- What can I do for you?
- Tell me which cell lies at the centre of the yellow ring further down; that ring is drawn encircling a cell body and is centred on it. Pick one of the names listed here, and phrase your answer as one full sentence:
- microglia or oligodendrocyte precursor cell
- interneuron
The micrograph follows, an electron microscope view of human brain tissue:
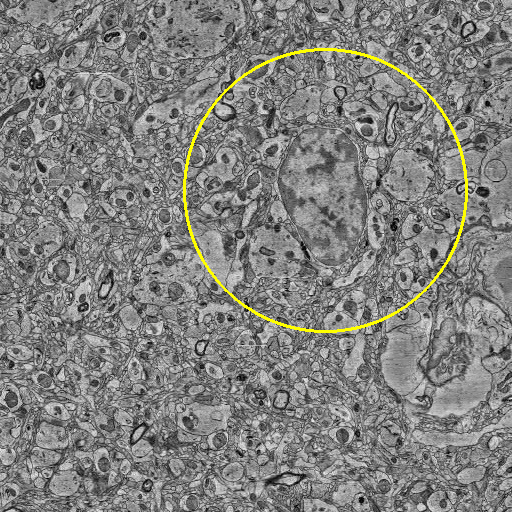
The cell whose body lies at the centre of the yellow ring is a microglial cell or oligodendrocyte precursor cell.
